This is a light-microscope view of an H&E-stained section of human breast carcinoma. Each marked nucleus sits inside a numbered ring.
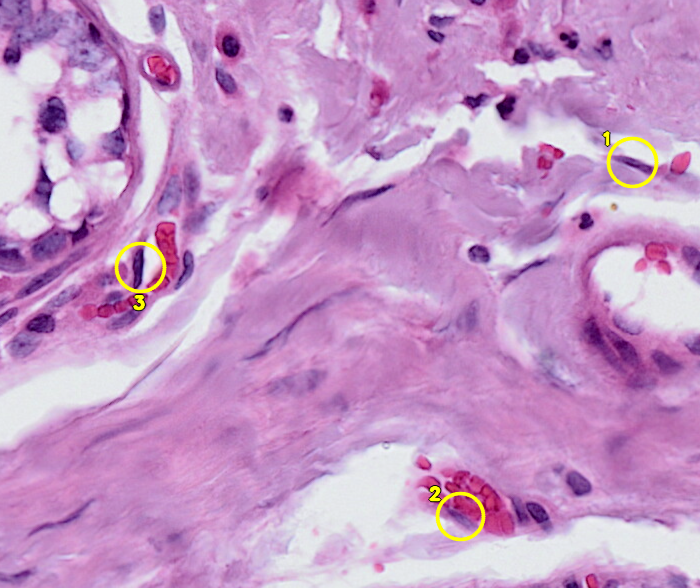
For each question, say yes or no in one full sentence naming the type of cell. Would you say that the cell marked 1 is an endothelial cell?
No, the cell bearing number 1 is not an endothelial cell but a fibroblast.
